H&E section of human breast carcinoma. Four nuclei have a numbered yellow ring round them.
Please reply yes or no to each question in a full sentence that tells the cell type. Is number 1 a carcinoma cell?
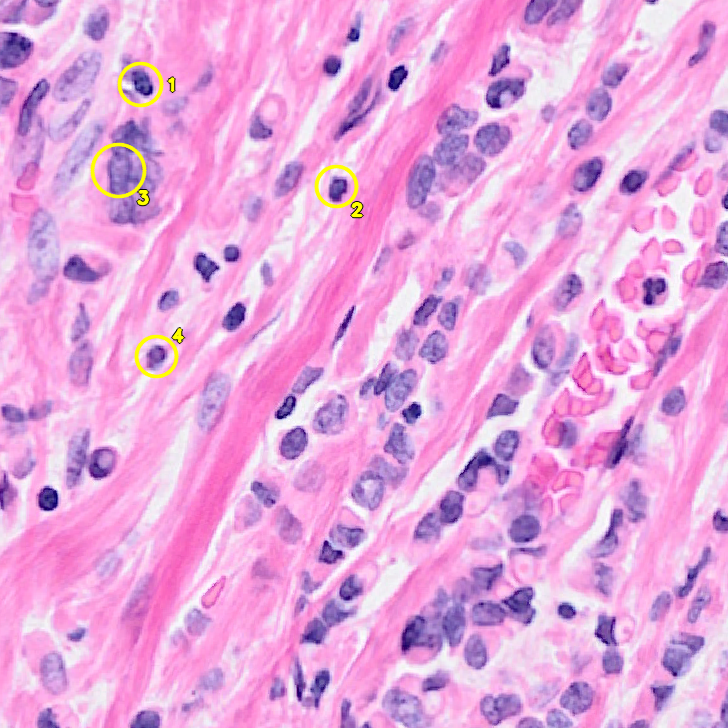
No, cell 1 is to be read as a lymphocyte, not a carcinoma cell.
